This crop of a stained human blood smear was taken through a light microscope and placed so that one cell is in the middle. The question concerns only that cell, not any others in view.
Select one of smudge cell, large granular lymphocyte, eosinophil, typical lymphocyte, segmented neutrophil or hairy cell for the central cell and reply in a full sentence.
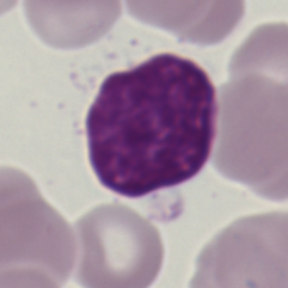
The cell at the middle of the frame should be recorded as a smudge cell.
